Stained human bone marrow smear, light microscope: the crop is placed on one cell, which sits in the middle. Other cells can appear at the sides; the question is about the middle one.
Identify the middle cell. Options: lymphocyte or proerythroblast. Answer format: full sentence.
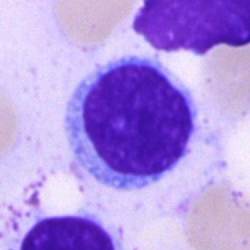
The center cell of this crop is a lymphocyte.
